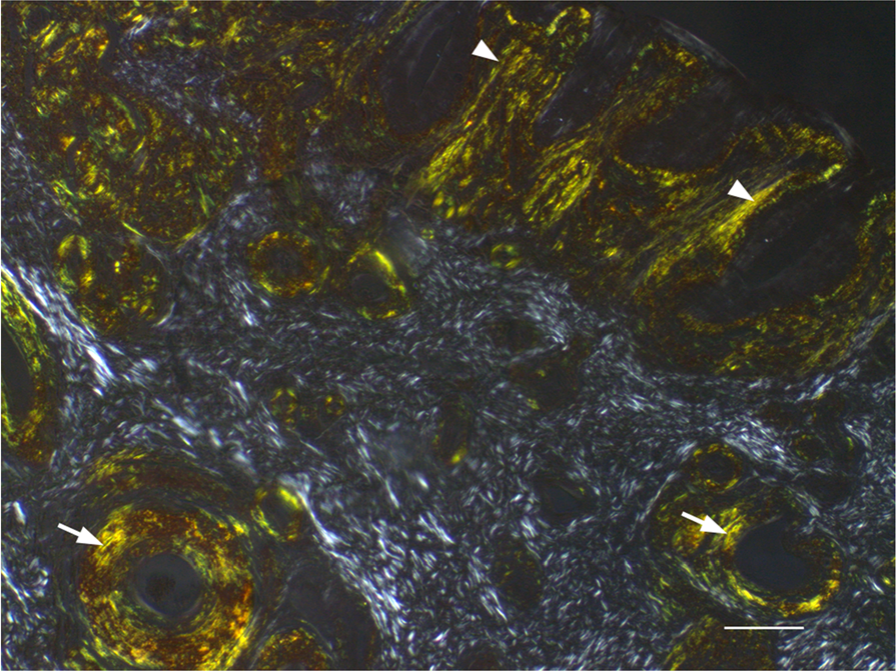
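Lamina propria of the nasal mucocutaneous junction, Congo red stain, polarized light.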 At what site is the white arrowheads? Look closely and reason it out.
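The arrowheads lie in bands of yellow birefringent material in the upper right of the field. These bands run along the dark rounded profiles near the upper right tissue edge.
Answer: a narrow subepithelial zone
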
